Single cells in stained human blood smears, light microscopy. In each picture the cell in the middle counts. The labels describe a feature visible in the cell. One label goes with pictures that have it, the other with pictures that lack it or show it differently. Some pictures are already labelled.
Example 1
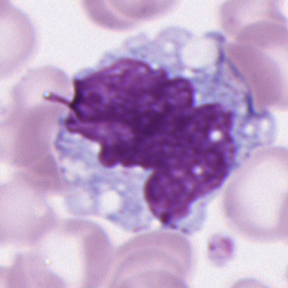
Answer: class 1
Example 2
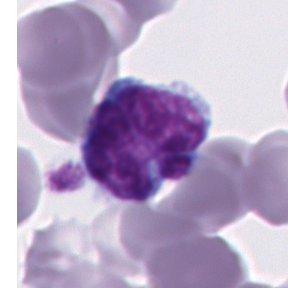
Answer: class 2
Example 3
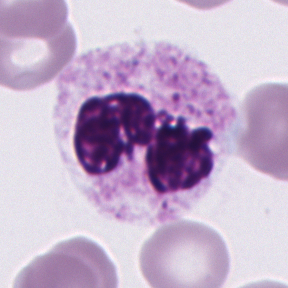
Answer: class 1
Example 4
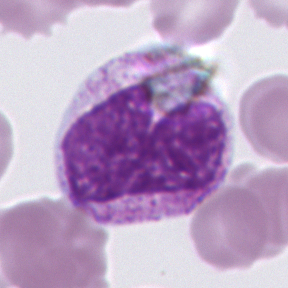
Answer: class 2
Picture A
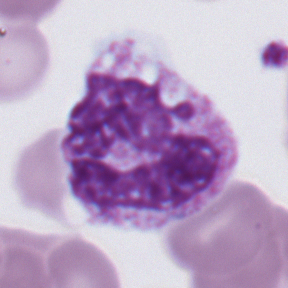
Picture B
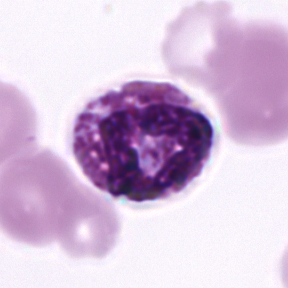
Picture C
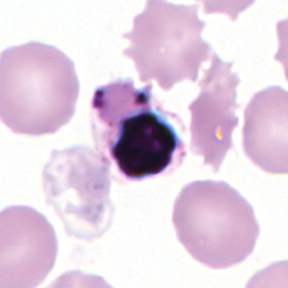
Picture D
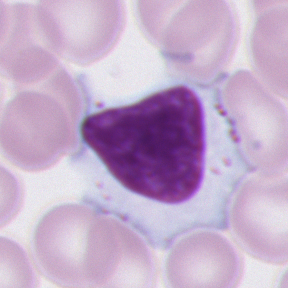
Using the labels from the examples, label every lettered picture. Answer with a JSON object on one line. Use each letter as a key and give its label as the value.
{"A": "class 2", "B": "class 2", "C": "class 2", "D": "class 1"}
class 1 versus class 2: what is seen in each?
In class 1: abundant cytoplasm. In class 2: scant cytoplasm.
